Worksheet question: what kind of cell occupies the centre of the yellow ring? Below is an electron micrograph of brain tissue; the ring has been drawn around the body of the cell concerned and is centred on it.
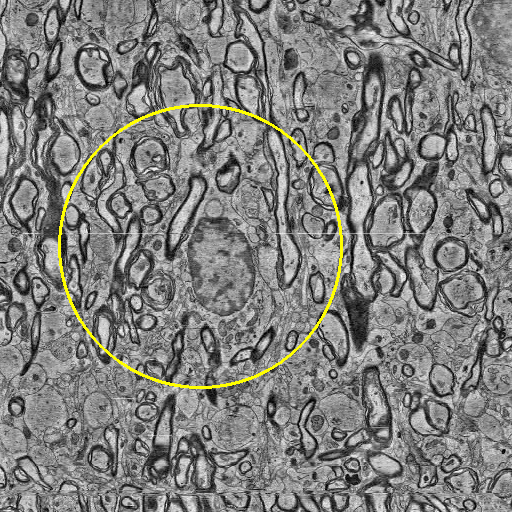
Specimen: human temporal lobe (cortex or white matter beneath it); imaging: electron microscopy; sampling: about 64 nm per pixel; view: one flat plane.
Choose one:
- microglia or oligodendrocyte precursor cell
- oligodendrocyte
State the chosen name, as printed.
microglia or oligodendrocyte precursor cell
